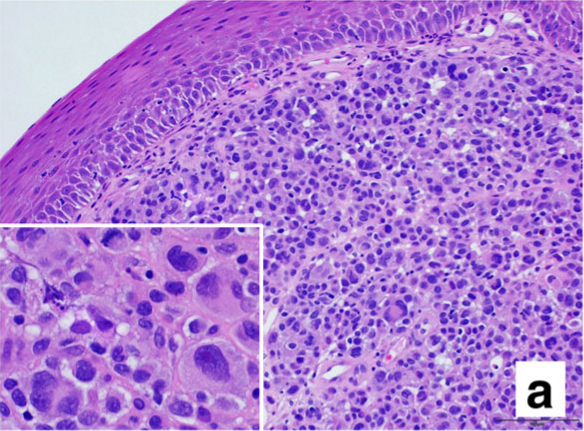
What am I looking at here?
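Tumour cells in nests lie beneath an intact stratified squamous epithelium, which runs along the upper left as orderly layers of pink cells flattening toward the surface. Below it a dense, sheet-like population of atypical cells fills the field, separated into vague nests by delicate stroma with small vessels. The cells vary markedly in size and shape, with round to oval, hyperchromatic nuclei and moderate pink cytoplasm. Scattered giant cells are present.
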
